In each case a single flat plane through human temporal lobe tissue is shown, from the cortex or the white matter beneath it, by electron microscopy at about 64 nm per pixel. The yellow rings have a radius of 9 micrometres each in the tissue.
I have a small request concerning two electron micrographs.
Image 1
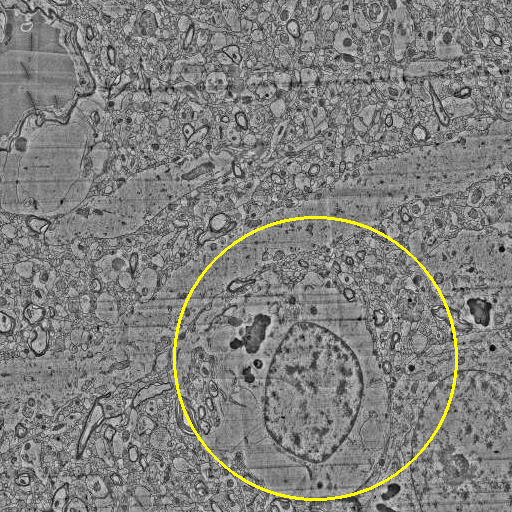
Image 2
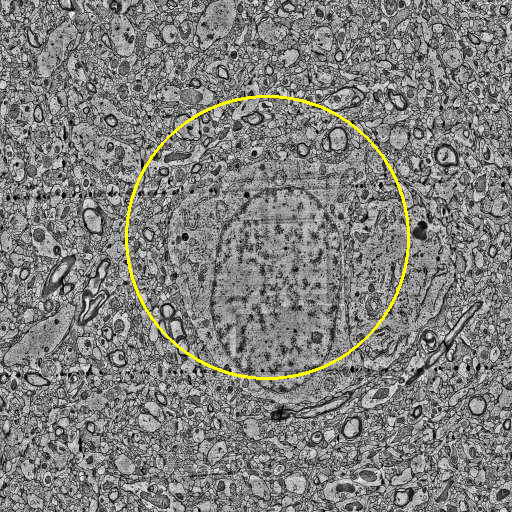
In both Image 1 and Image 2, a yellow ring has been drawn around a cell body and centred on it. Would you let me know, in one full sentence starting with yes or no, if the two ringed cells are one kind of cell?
No, the cells ringed in Image 1 and Image 2 are two kinds of cell.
